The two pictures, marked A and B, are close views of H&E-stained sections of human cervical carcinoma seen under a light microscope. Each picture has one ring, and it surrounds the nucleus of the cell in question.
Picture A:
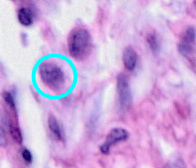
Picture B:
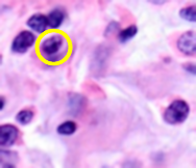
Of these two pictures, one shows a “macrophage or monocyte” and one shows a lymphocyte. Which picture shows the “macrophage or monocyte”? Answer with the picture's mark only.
A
